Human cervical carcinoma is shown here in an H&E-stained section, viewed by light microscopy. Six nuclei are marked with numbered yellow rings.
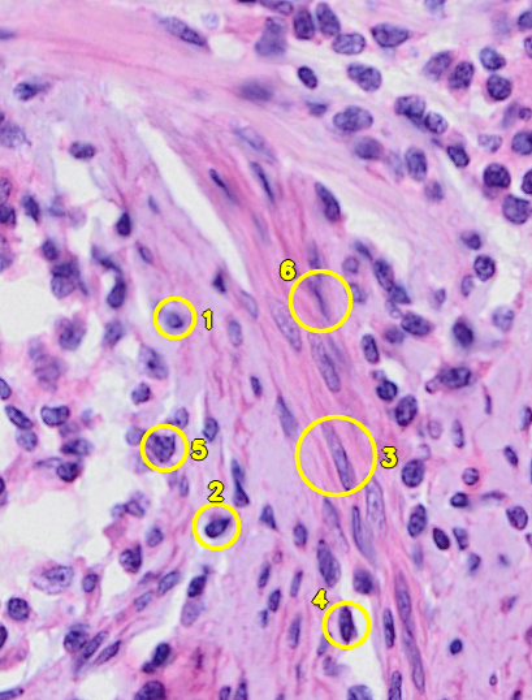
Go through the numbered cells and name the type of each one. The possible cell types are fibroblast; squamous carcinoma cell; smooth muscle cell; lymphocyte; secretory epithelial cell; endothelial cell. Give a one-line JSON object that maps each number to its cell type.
{"1": "lymphocyte", "2": "lymphocyte", "3": "smooth muscle cell", "4": "lymphocyte", "5": "lymphocyte", "6": "smooth muscle cell"}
